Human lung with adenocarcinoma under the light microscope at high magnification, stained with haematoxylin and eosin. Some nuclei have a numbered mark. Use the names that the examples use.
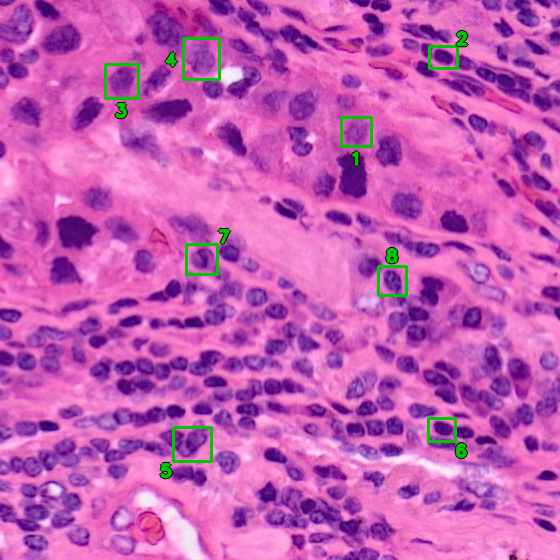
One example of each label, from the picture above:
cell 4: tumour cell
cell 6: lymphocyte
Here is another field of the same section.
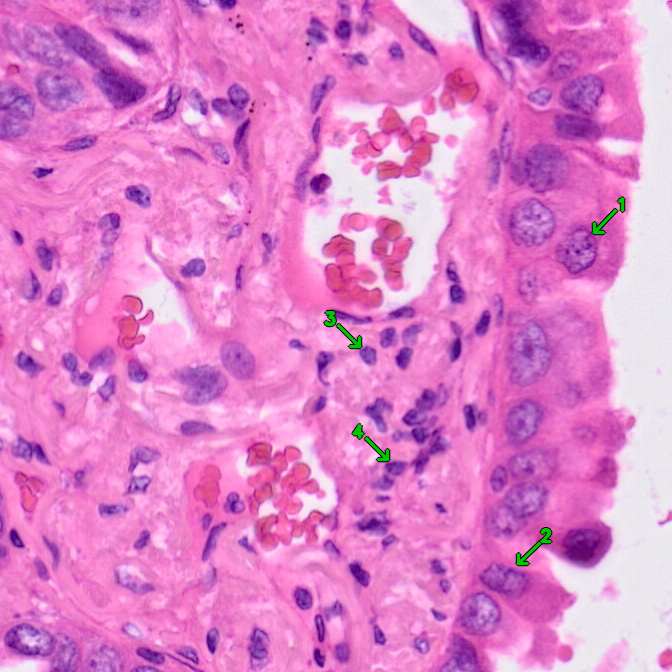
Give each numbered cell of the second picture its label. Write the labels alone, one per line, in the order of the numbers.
tumour cell
tumour cell
lymphocyte
lymphocyte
